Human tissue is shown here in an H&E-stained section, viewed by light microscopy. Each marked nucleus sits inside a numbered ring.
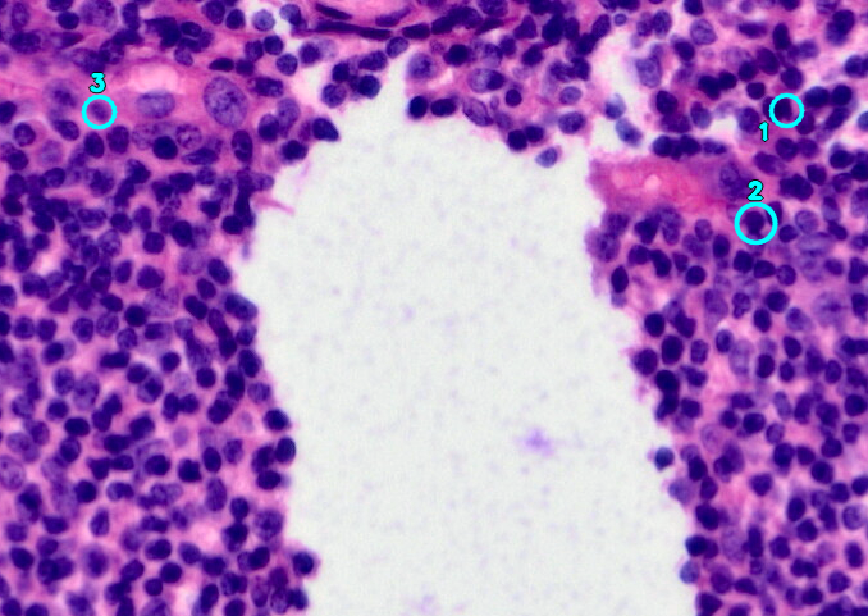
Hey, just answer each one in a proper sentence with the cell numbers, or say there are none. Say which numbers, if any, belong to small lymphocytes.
Cells 1 and 2 are of one type, namely small lymphocytes.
